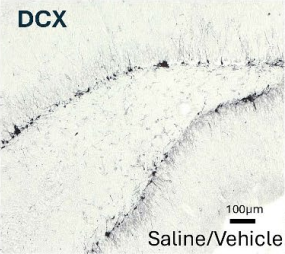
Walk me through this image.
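This is a section through the dentate gyrus, where a thin curved row of dark-stained cells runs along the inner border of a pale cell layer. The stained cell bodies are small and crowded together in this narrow band. From many of them, fine dark processes extend outward across the pale layer, running roughly perpendicular to the band. The surrounding tissue is pale with only faint background staining, so the stained cells and their processes stand out sharply.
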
